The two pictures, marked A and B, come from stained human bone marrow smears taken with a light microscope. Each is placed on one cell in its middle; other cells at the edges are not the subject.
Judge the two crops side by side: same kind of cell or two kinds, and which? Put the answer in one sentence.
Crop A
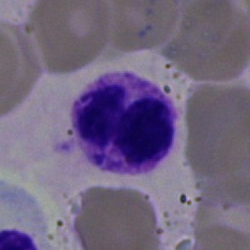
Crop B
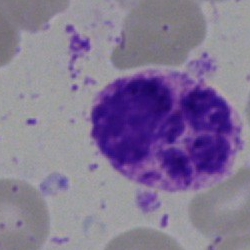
Yes, both crops show basophils, with no exception.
